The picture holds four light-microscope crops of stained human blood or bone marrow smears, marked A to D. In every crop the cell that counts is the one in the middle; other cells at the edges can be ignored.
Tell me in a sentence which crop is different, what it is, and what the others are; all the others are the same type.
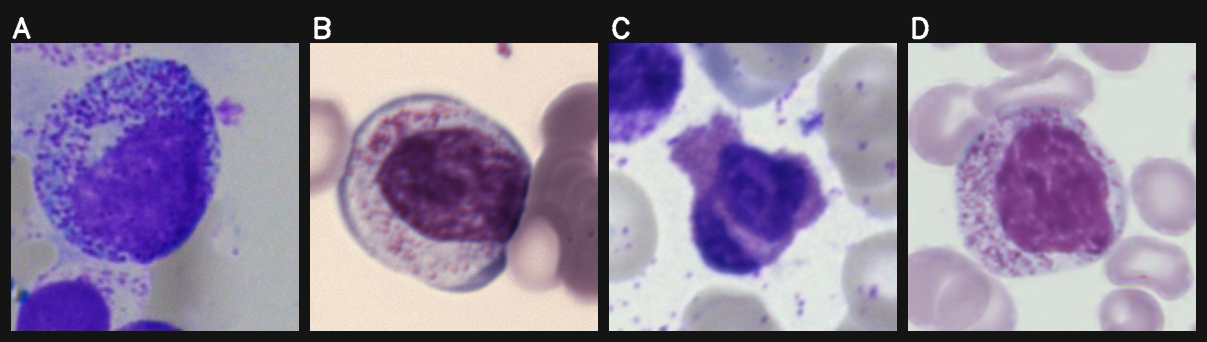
All the crops show myelocytes, barring crop C, which is an eosinophil.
